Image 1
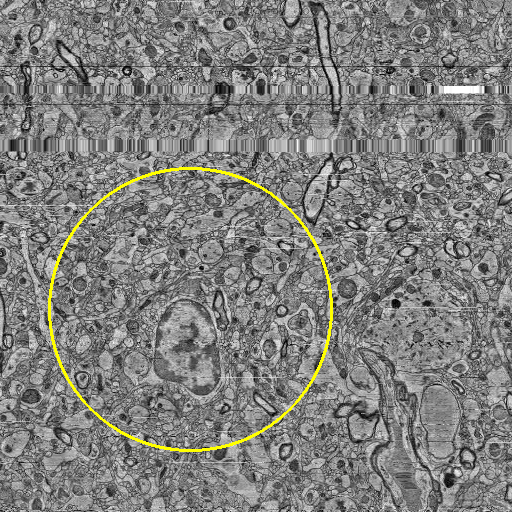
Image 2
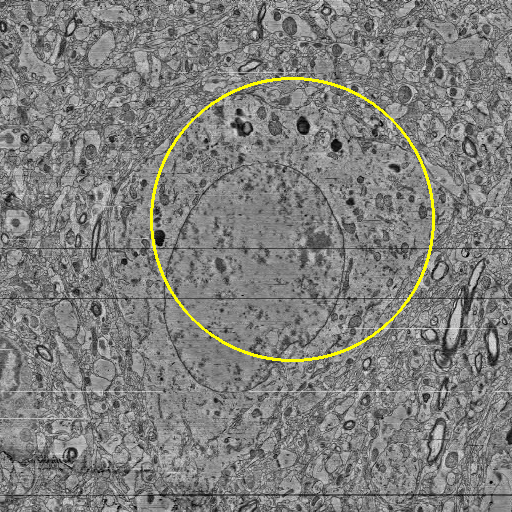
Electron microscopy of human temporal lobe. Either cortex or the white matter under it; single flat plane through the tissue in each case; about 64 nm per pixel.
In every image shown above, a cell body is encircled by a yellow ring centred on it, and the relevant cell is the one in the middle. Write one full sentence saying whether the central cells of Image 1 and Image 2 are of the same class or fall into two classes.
The cell at the ring's centre in Image 1 and its counterpart in Image 2 fall into two classes.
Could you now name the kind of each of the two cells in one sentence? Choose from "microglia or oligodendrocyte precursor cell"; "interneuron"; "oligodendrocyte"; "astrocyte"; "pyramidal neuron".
The first ring encloses a microglial cell or oligodendrocyte precursor cell; the second ring encloses a pyramidal neuron.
